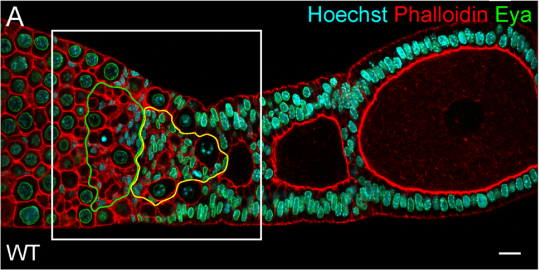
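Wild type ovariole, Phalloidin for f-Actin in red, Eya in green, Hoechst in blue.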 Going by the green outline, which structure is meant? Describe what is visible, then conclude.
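It sits between the large round germ cells on the left and the yellow-outlined region. So: somatic plug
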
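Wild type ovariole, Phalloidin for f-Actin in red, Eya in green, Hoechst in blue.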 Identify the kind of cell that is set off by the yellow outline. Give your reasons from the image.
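Central pre-follicular cells. It lies between the germ cell region and the first egg chamber.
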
